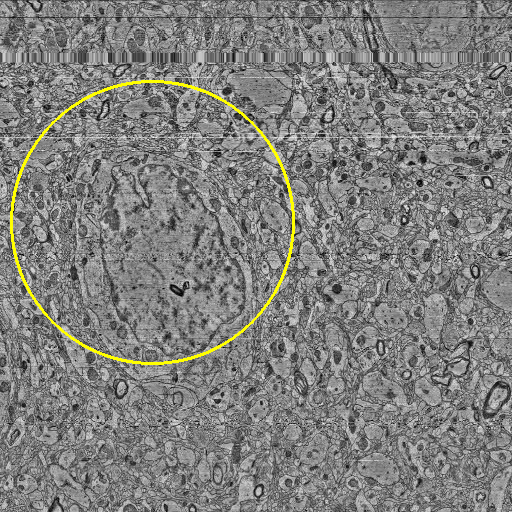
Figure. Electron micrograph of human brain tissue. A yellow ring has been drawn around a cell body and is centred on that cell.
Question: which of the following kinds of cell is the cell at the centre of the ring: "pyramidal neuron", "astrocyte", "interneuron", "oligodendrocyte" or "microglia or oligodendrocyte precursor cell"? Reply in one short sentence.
The cell at the centre of the ring is an interneuron.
